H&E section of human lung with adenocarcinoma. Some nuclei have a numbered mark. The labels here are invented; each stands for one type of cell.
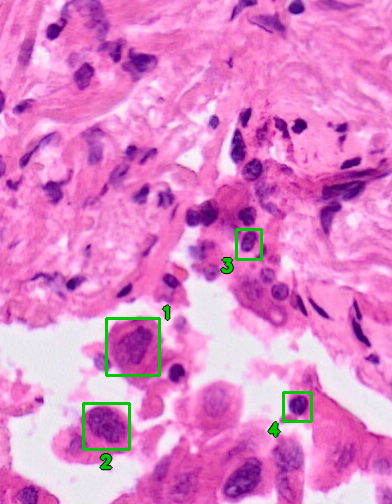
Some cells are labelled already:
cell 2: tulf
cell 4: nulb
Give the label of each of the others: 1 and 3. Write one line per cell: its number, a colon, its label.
1: tulf
3: nulb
